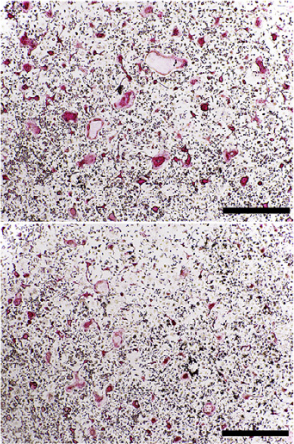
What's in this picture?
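These are cultures containing large multinucleated cells stained magenta-red, scattered among a dense lawn of small, darkly stained mononuclear cells. The multinucleated cells are irregular and spread flat, some with a pale centre and a deeper magenta rim. Their size varies widely, from small stained cells to broad sheets many times the diameter of the surrounding cells. In the upper image the large stained cells are more numerous and larger than in the lower image, where most stained cells are small.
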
